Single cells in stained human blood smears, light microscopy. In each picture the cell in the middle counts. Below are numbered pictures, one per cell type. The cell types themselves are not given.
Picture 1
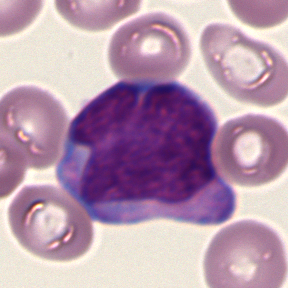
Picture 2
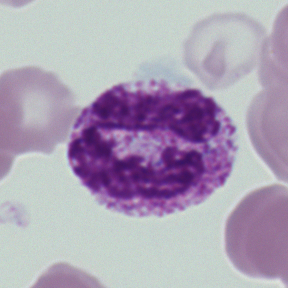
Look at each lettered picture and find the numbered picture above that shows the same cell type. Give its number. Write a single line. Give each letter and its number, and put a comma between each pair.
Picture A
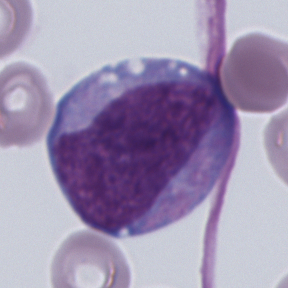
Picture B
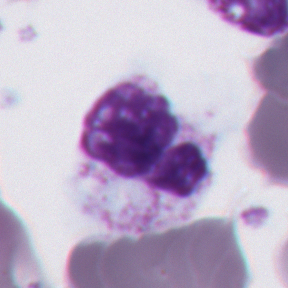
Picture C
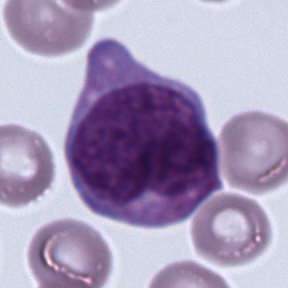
A 1, B 2, C 1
